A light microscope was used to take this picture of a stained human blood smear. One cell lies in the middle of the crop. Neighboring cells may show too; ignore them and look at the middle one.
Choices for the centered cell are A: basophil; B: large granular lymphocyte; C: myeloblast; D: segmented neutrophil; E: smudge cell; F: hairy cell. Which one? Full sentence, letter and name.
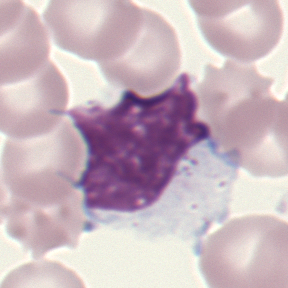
The cell in the middle is a large granular lymphocyte, so option B is correct.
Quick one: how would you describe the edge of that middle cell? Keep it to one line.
The periphery of this cell is uneven, with ragged portions or projections.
